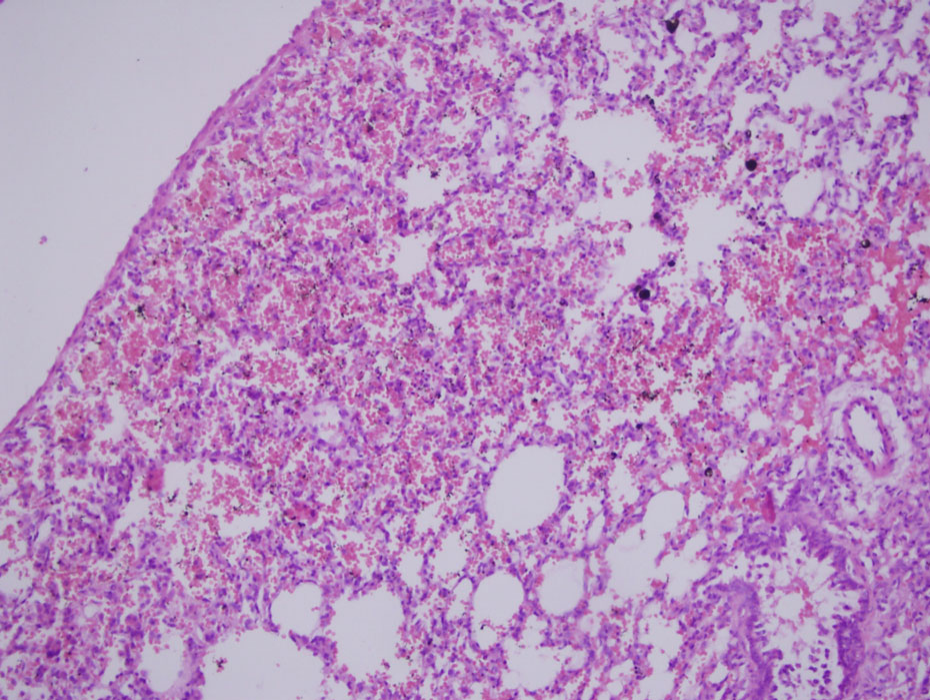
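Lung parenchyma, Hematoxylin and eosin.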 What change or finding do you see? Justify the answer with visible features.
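Many small pink-red red blood cells fill the alveolar spaces, most heavily in the upper left and centre. The blood cells lie within the airspaces between the thin alveolar walls, not only inside vessels. That points to this answer: intraalveolar hemorrhage.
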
